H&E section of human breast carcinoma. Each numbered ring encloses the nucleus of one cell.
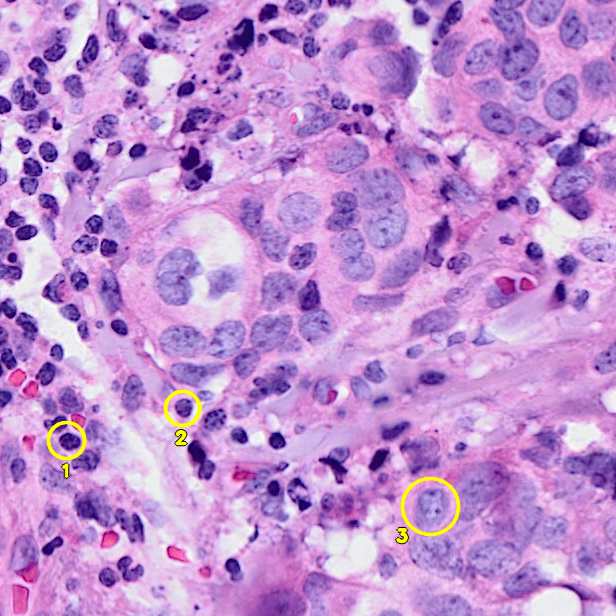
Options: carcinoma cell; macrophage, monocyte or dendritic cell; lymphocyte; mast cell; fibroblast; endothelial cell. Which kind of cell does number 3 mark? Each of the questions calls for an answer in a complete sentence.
The mark numbered 3 indicates the nucleus of a carcinoma cell.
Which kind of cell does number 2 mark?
The cell pointed out as number 2 is a lymphocyte.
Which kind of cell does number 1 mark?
The cell identified by number 1 is a lymphocyte.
